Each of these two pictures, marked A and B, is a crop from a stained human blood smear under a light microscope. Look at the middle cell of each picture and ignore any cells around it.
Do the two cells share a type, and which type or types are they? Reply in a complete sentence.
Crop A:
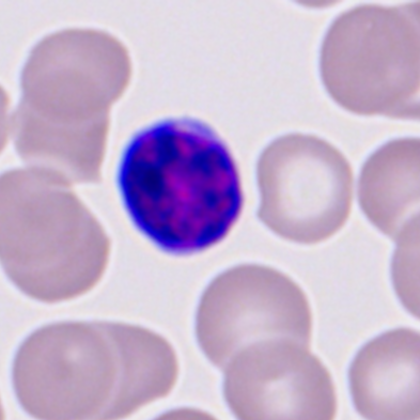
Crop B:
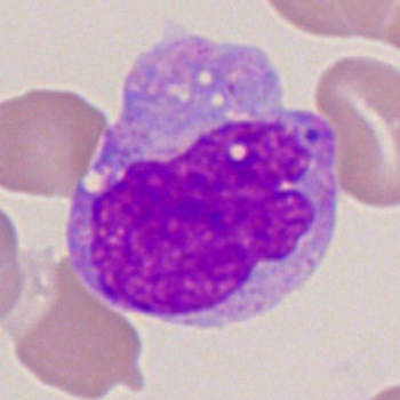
No, it is crop A that shows a lymphocyte, and crop B shows a monocyte.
